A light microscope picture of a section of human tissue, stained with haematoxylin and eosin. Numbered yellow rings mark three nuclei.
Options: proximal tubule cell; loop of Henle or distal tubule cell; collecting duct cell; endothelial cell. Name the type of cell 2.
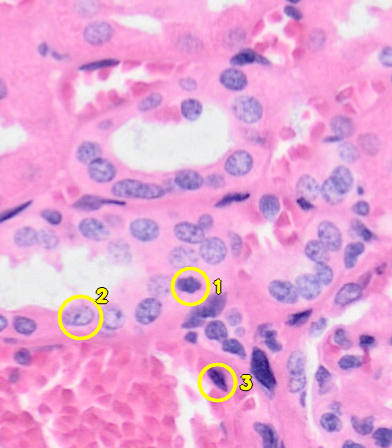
collecting duct cell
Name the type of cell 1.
collecting duct cell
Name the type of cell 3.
endothelial cell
